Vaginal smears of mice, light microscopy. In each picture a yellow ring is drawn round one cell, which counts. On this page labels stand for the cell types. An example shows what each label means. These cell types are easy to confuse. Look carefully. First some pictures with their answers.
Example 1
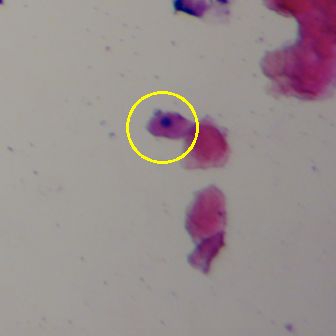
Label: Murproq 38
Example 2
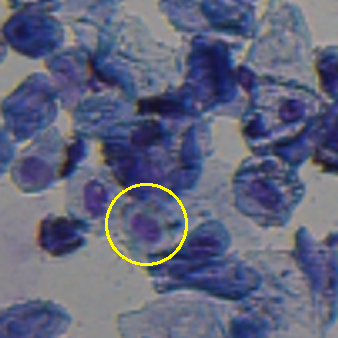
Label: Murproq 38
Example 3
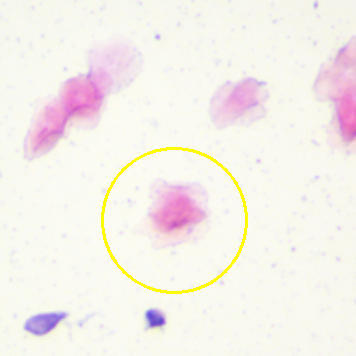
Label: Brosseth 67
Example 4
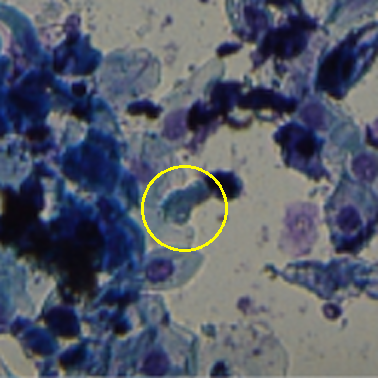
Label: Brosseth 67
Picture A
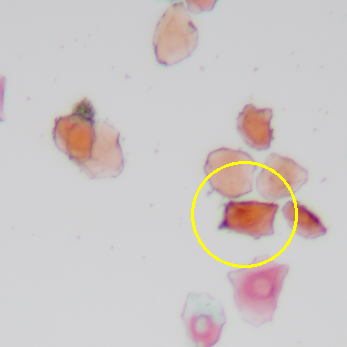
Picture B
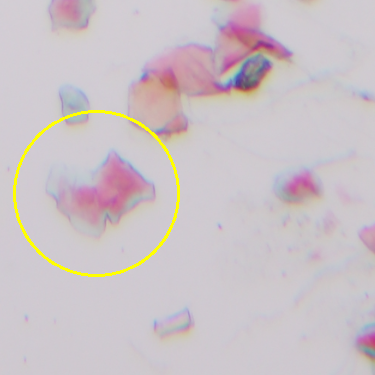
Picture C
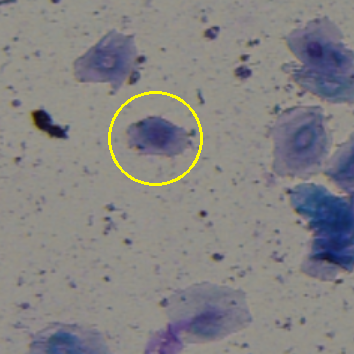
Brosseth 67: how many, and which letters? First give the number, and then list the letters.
2: A, B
